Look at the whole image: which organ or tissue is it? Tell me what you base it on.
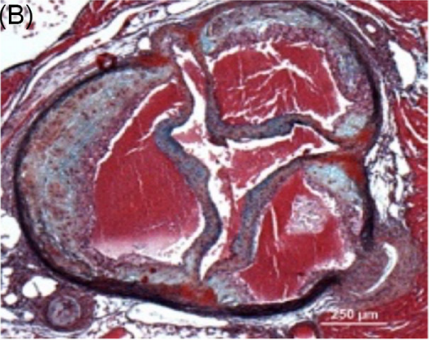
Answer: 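Aortic valves. A round vessel root in cross-section holds three thin leaflets meeting at the centre. The leaflets are attached to a thick surrounding wall.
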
